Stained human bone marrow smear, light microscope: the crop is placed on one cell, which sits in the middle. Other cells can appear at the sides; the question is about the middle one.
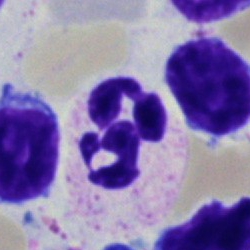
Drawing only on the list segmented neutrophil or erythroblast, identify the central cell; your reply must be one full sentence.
The cell nearest the centre of this crop is a segmented neutrophil.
